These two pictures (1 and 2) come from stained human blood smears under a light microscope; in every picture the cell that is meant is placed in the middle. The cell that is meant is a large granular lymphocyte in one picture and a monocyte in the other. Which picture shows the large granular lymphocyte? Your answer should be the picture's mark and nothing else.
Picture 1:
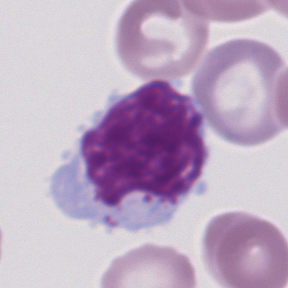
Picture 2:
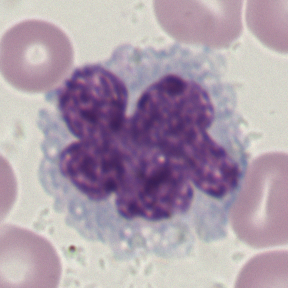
1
